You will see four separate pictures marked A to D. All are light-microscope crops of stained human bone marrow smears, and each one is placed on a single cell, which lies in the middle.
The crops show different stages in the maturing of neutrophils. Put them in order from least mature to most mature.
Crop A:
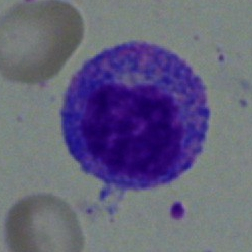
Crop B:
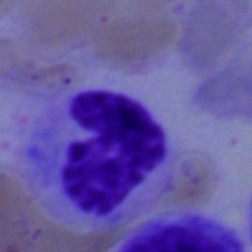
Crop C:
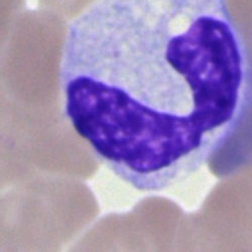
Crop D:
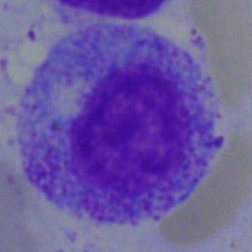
D, A, B, C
